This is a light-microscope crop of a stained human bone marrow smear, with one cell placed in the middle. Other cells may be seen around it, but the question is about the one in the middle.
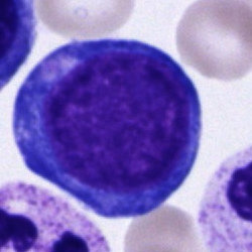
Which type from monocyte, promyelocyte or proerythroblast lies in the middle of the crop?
proerythroblast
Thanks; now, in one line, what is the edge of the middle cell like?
You can see a smooth boundary, with no projections sticking out.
